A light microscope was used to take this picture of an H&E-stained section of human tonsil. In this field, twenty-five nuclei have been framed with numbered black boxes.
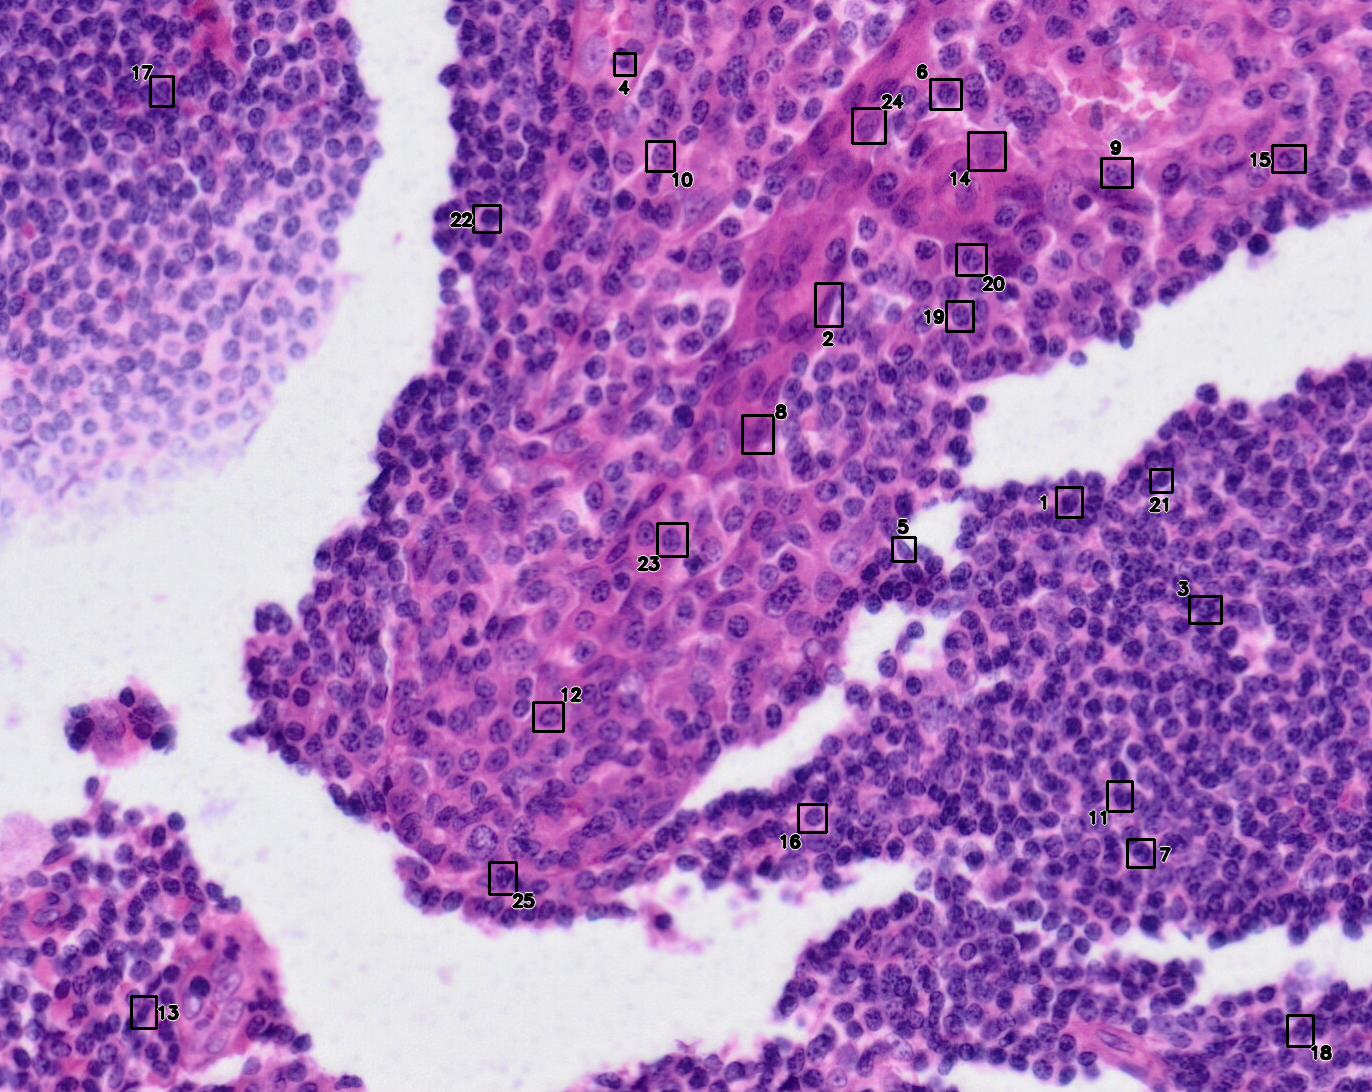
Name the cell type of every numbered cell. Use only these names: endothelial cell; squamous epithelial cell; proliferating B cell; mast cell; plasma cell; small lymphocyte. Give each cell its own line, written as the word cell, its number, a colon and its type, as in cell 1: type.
cell 1: small lymphocyte
cell 2: squamous epithelial cell
cell 3: small lymphocyte
cell 4: endothelial cell
cell 5: small lymphocyte
cell 6: plasma cell
cell 7: small lymphocyte
cell 8: squamous epithelial cell
cell 9: plasma cell
cell 10: plasma cell
cell 11: small lymphocyte
cell 12: plasma cell
cell 13: small lymphocyte
cell 14: squamous epithelial cell
cell 15: plasma cell
cell 16: small lymphocyte
cell 17: small lymphocyte
cell 18: small lymphocyte
cell 19: plasma cell
cell 20: plasma cell
cell 21: small lymphocyte
cell 22: small lymphocyte
cell 23: plasma cell
cell 24: squamous epithelial cell
cell 25: plasma cell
